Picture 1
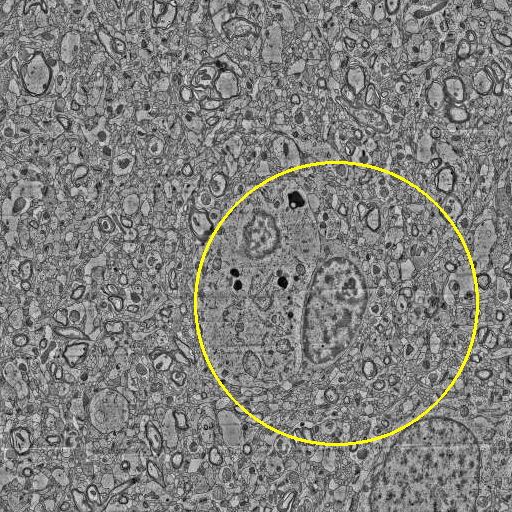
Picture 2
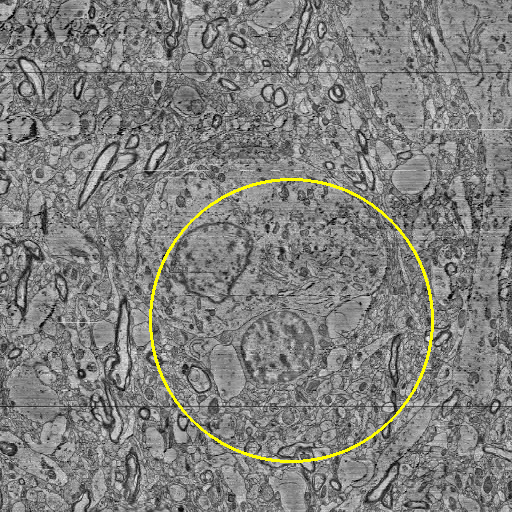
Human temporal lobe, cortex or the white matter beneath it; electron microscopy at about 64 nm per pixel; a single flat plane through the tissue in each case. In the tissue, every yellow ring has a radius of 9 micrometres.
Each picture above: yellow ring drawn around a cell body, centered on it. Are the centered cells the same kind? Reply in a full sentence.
Yes, the two cells are the same kind.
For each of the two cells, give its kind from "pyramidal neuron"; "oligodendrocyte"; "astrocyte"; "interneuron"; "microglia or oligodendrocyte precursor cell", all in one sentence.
Each cell at the centre of a ring is an oligodendrocyte.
